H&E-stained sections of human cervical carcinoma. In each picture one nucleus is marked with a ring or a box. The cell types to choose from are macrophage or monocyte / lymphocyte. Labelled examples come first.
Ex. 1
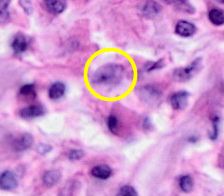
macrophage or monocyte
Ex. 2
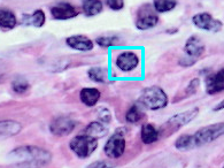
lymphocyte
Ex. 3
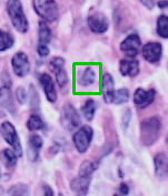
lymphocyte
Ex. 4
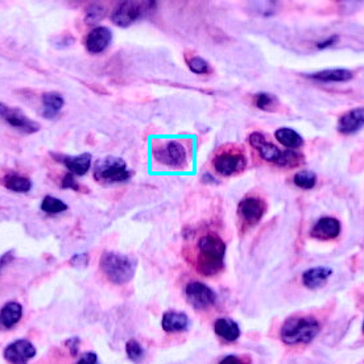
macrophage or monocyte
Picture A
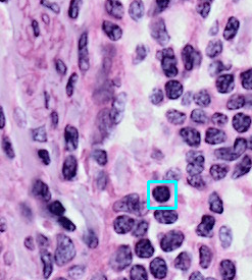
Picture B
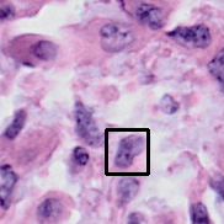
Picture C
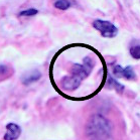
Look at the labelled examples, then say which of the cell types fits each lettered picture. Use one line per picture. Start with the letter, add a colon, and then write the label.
A: lymphocyte
B: macrophage or monocyte
C: macrophage or monocyte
